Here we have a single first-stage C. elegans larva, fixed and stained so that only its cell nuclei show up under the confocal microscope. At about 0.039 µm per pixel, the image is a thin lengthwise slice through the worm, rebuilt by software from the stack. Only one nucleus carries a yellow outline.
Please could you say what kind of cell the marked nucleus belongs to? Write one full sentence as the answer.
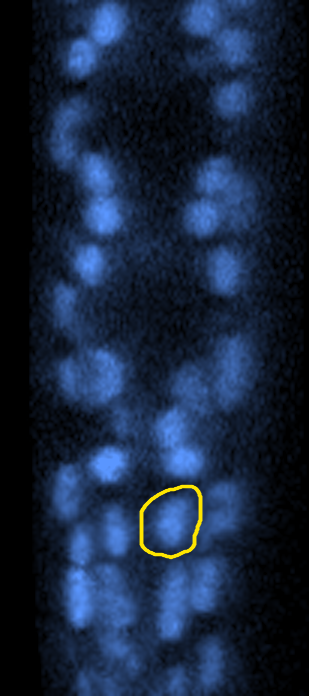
What is marked is the nucleus of a neuron.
